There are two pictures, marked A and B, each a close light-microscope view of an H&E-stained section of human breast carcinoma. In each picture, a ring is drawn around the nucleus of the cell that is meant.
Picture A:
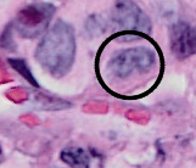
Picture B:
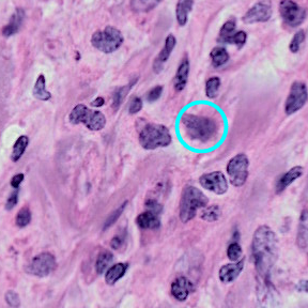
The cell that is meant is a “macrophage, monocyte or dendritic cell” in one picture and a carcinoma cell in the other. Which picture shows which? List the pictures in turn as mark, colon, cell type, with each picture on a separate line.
A: carcinoma cell
B: macrophage, monocyte or dendritic cell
